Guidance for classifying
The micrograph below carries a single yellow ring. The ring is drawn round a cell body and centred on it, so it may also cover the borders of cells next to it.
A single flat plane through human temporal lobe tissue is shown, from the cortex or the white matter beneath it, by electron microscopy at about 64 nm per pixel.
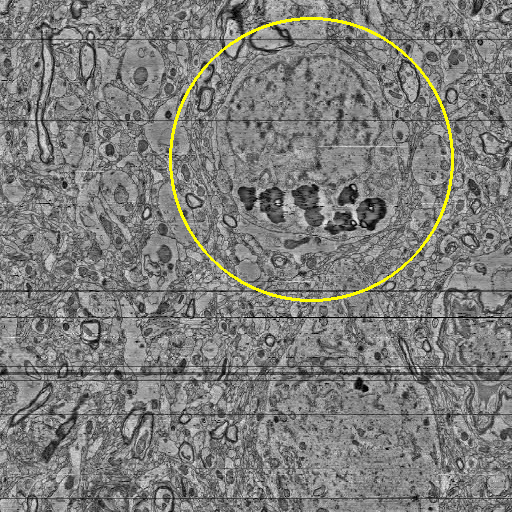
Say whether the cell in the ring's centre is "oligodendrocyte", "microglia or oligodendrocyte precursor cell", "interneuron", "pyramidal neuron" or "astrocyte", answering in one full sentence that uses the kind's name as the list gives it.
Within the yellow ring, an interneuron is the cell whose body sits at the centre.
